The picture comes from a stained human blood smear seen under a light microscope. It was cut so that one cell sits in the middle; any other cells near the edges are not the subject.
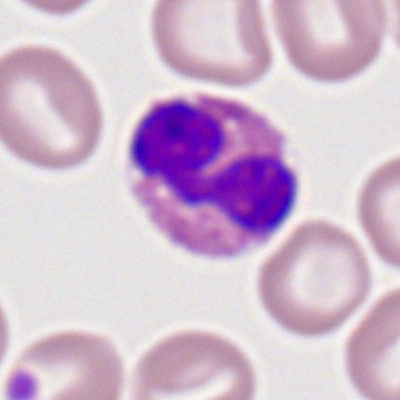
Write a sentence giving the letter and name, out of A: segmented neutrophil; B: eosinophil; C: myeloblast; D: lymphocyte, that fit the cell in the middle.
At the centre of the crop lies an eosinophil, which makes option B correct.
